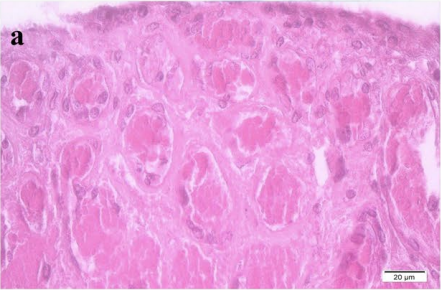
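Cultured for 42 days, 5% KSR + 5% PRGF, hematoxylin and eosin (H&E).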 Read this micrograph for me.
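Peripheral testicular tissue with degenerated seminiferous tubules. Round and oval tubule profiles are filled with homogeneous or clumped pink eosinophilic material rather than layered germ cells. Few nuclei remain within the tubules; scattered small dark nuclei lie in the walls and between tubules. Clefts separate the tubule contents from their surrounding walls, suggesting detachment. The interstitium between tubules is pale pink and loosely textured. The outer surface of the section shows a thin, more cellular rim with flattened nuclei. Overall cell layering within tubules is lost.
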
